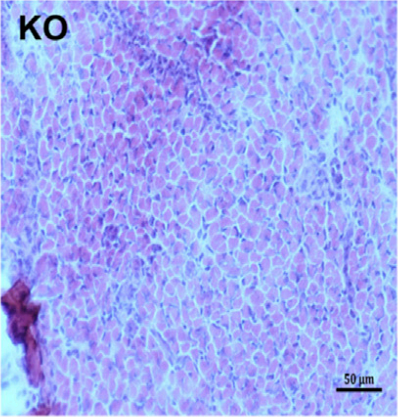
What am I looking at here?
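This is a transverse section of skeletal muscle showing many muscle fibers cut in cross-section. The fibers are small, rounded to polygonal and densely packed, with pink cytoplasm. Thin pale spaces outline the individual fibers. Dark purple nuclei are scattered at the fiber edges and between the fibers. Bands of paler connective tissue with more crowded nuclei cross the field, and a dark, irregular structure lies at the lower left edge.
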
